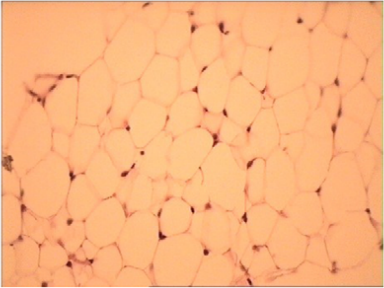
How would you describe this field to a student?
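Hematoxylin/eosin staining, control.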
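White adipose tissue made of closely packed adipocytes, rounded to polygonal cells whose large interiors appear pale and empty, separated only by thin pink cytoplasmic rims. Small dark purple nuclei lie flattened at the cell edges, often where several cells meet, and the cells vary in size across the field.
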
